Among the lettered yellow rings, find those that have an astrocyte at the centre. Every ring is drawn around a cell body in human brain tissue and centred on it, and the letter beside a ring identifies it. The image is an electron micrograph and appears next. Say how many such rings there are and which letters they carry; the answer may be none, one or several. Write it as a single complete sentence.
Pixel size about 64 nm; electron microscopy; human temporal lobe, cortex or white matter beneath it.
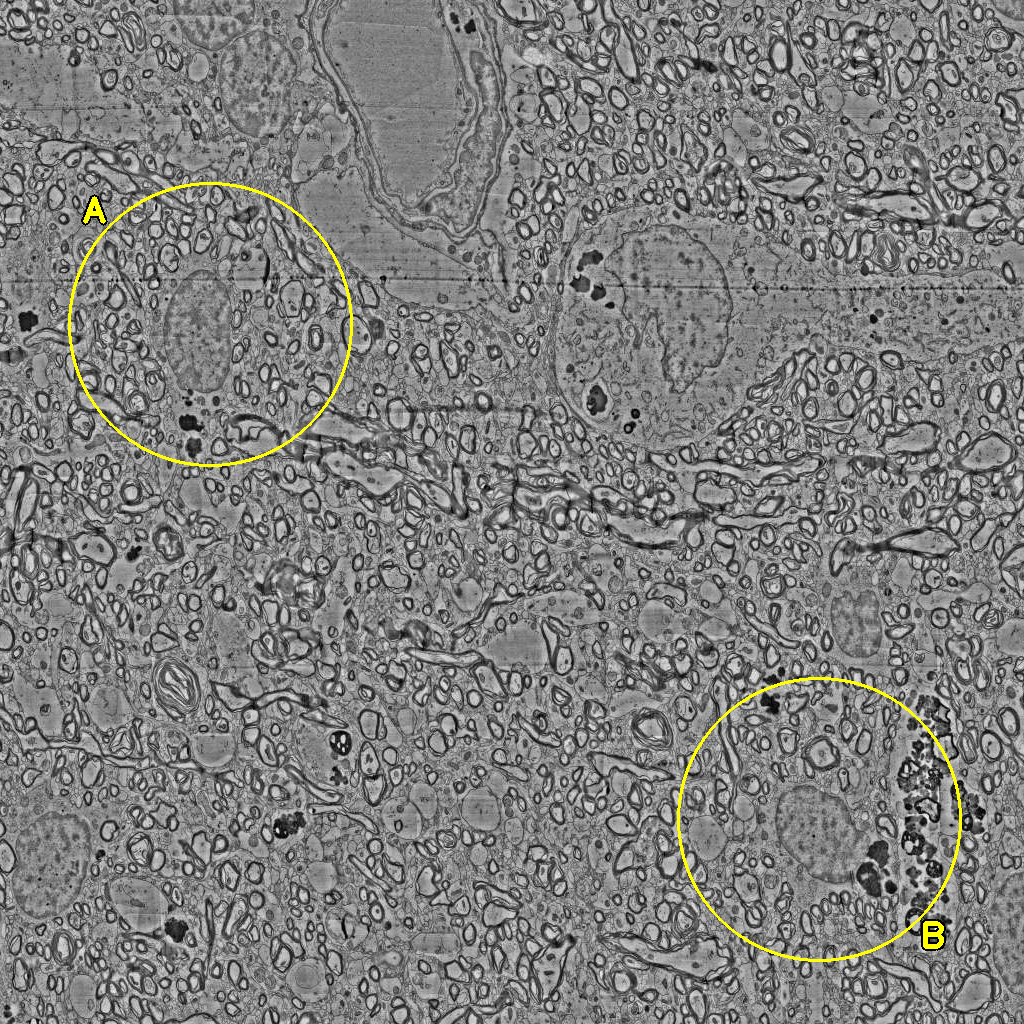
Nowhere in the micrograph is a ring centred on an astrocyte, and the count is zero.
